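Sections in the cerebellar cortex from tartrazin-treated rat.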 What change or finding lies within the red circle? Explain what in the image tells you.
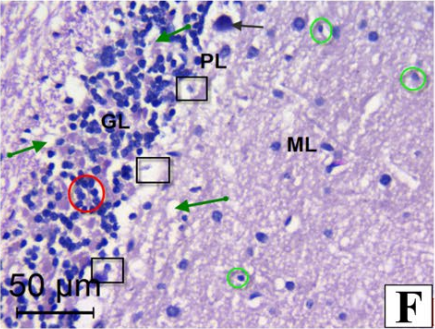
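Clumped granular cells with deeply stained nuclei. Small, very dark blue round nuclei crowded together in a cluster. The cluster lies within the dense band of small cells.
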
